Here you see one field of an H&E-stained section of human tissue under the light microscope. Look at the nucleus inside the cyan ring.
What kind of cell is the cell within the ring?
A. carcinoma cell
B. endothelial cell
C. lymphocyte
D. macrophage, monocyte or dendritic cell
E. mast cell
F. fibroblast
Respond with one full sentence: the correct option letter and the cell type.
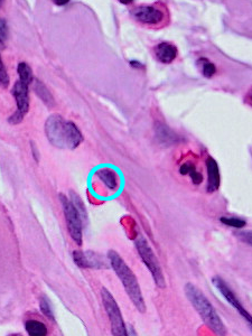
Right answer, option B: the cell within the ring is an endothelial cell.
